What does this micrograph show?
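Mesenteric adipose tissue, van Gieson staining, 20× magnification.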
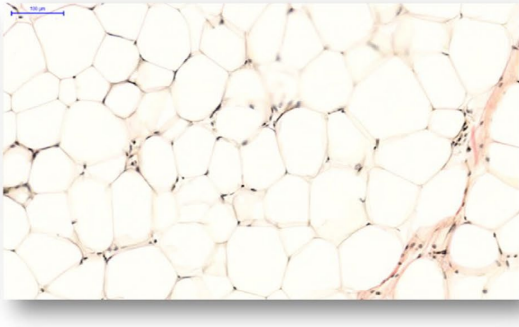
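The cells are bounded by thin rims, with small dark, flattened nuclei pressed to the edges and some clustered where several cells meet. Along the right side and between some cells run strands of pink-red fibrous connective tissue carrying scattered nuclei. The adipocytes vary noticeably in size, with some much larger than their neighbours.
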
